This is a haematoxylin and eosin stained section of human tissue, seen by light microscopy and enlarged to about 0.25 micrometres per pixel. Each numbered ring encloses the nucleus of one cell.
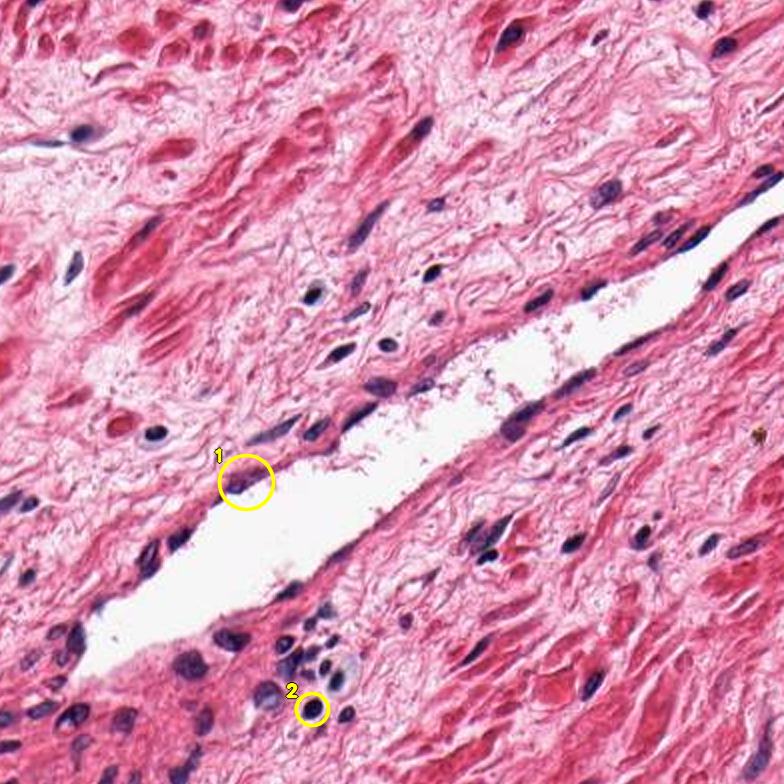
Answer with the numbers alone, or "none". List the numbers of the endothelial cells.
1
